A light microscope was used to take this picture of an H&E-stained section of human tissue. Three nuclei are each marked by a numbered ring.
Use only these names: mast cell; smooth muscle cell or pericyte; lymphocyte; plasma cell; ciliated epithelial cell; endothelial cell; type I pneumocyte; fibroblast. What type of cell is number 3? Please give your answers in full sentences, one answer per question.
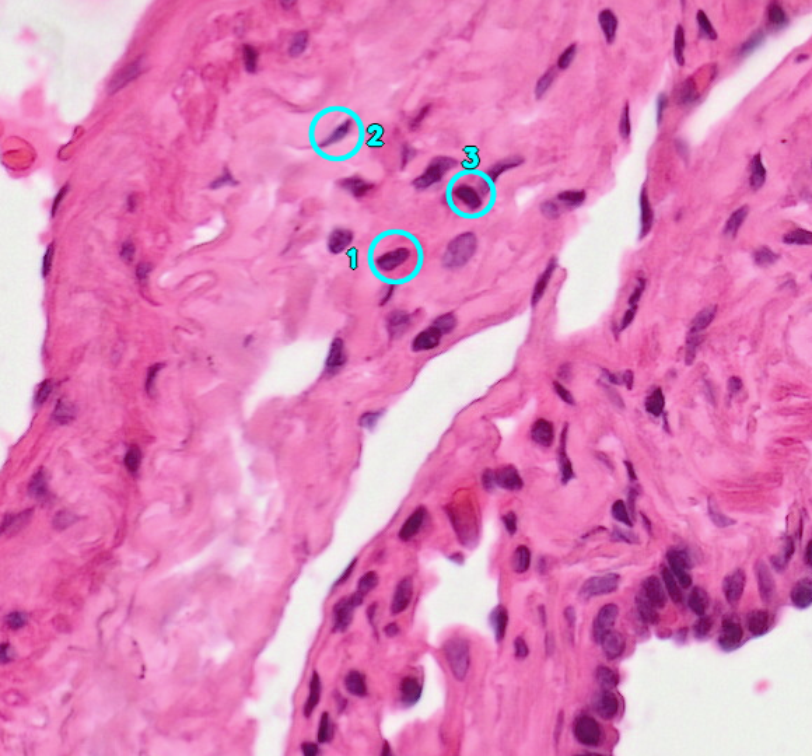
The cell carrying label 3 is identified as a plasma cell.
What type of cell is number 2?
Of the numbered cells, the one labelled 2 is a fibroblast.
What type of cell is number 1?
In the tissue shown, cell 1 is a mast cell.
